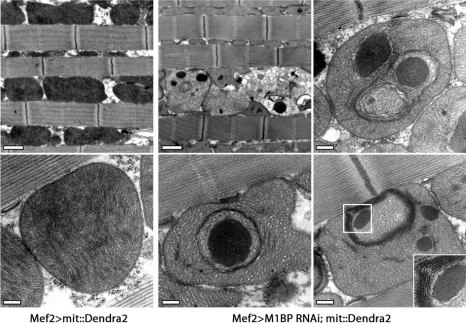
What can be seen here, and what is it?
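In the low-magnification views, long myofibrils with regular dark and light banding run in parallel, and large dark mitochondria packed with membranes fill the spaces between them. Some fields show paler, irregular mitochondria with dark round bodies scattered among them. At higher magnification, single mitochondria appear as oval organelles filled with tightly folded internal membranes. In several of them, a dense rounded core is encircled by concentric membrane layers, giving an onion-like look.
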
